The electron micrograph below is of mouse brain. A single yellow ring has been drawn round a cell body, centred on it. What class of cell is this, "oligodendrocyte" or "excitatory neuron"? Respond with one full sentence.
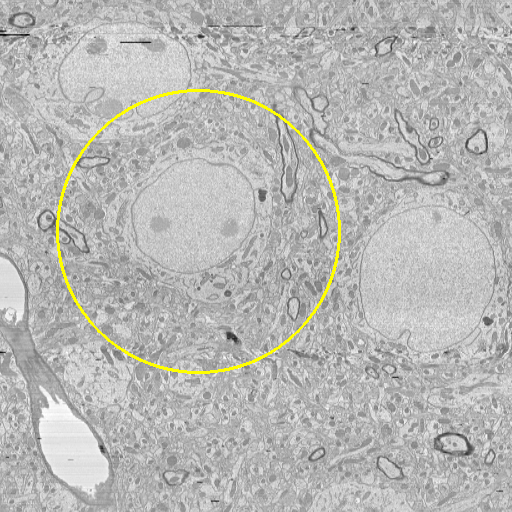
In the micrograph, the cell centred inside the yellow ring is an excitatory neuron.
